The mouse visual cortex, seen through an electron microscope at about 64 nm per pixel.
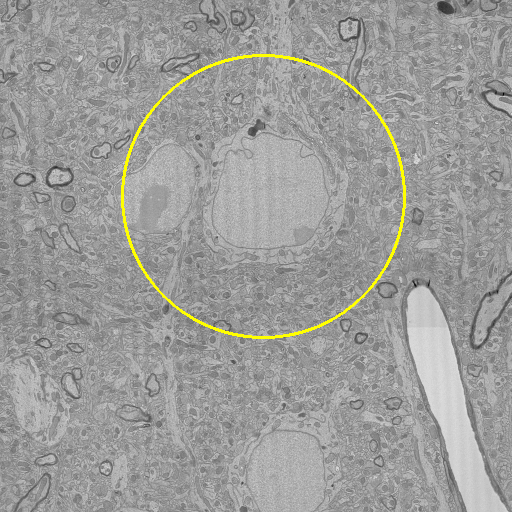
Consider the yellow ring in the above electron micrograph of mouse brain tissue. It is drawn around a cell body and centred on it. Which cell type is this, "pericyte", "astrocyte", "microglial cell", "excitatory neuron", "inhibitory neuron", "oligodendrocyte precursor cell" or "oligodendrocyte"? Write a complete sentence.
The cell in question is an excitatory neuron.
